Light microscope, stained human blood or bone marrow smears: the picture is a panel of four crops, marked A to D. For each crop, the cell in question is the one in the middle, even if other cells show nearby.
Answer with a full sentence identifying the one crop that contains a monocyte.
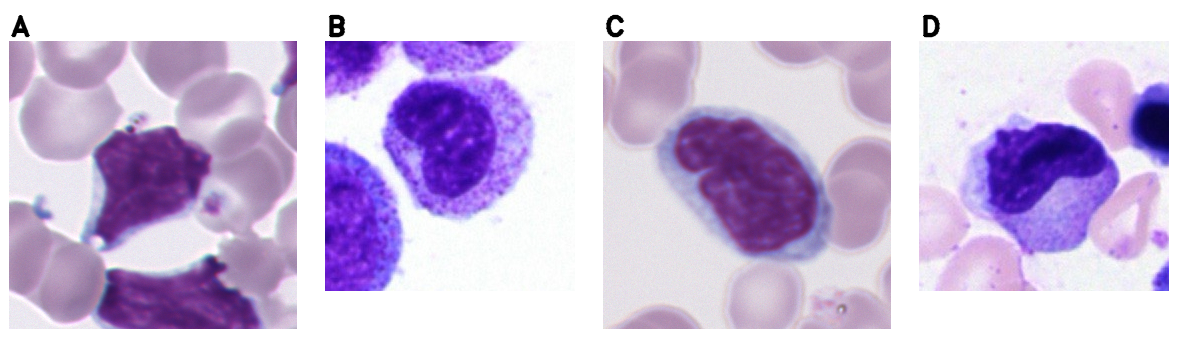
The requested cell, a monocyte, is the one in crop C.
